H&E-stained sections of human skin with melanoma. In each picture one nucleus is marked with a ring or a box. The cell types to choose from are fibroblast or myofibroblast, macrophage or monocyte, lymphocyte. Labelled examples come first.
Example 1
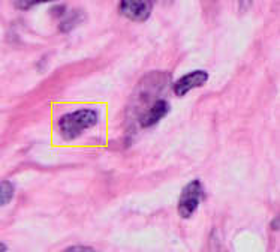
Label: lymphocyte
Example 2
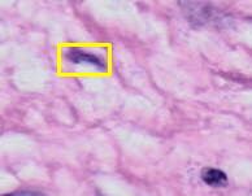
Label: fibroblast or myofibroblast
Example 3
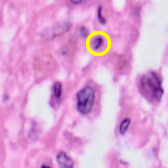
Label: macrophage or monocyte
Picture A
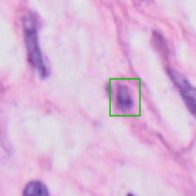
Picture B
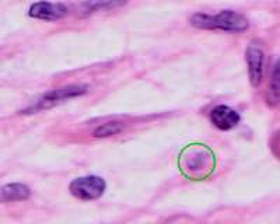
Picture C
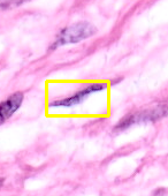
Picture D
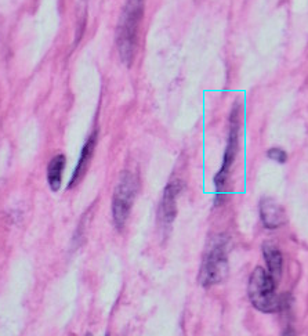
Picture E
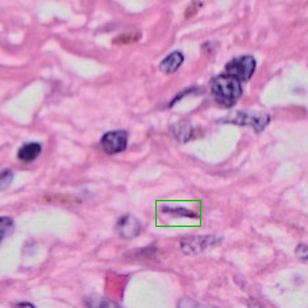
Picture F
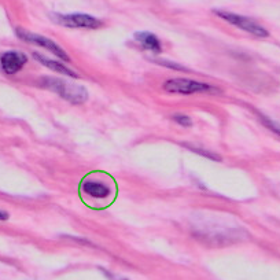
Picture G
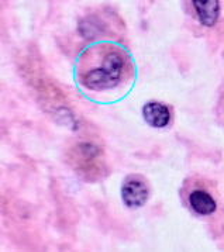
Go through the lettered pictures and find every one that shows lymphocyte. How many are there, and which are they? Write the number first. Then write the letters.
Count: 1 (F)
